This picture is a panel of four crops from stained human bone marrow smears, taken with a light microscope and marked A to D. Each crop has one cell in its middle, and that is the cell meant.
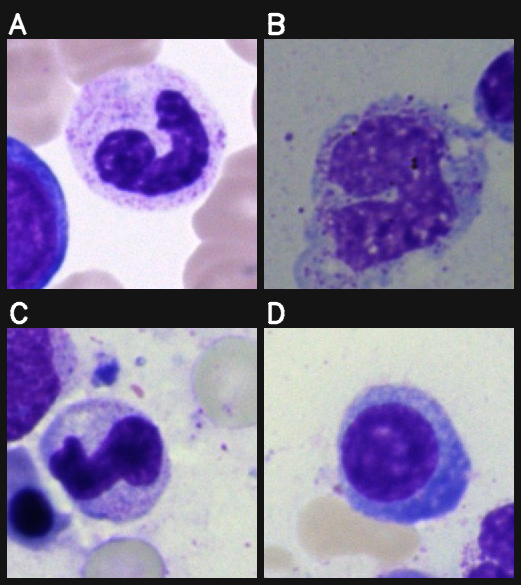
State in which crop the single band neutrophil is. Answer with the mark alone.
C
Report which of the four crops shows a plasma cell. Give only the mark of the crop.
D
